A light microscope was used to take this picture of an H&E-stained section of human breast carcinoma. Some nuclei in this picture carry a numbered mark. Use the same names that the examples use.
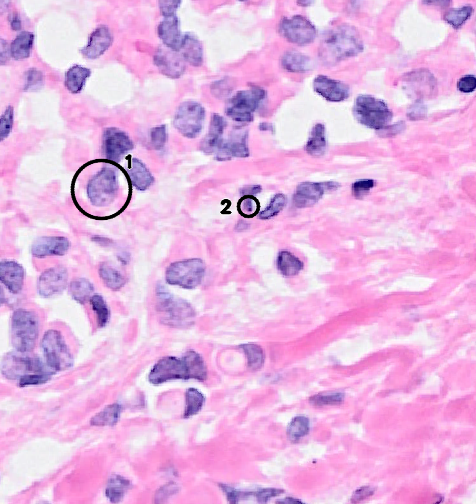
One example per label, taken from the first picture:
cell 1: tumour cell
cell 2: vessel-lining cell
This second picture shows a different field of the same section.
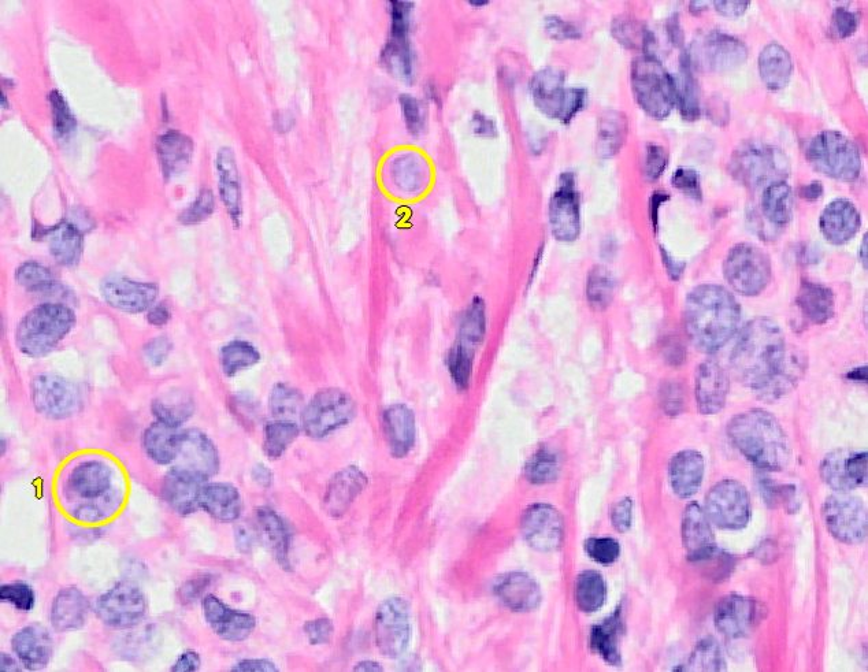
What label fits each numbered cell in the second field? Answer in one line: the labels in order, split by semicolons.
tumour cell; vessel-lining cell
